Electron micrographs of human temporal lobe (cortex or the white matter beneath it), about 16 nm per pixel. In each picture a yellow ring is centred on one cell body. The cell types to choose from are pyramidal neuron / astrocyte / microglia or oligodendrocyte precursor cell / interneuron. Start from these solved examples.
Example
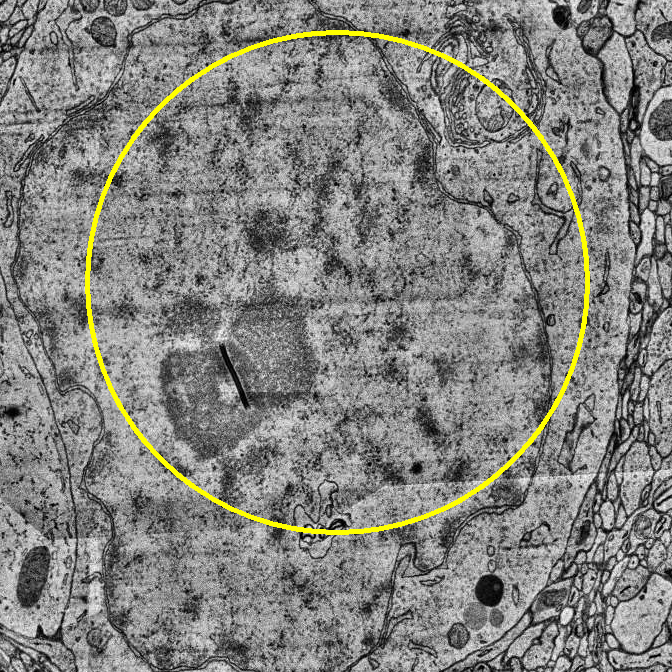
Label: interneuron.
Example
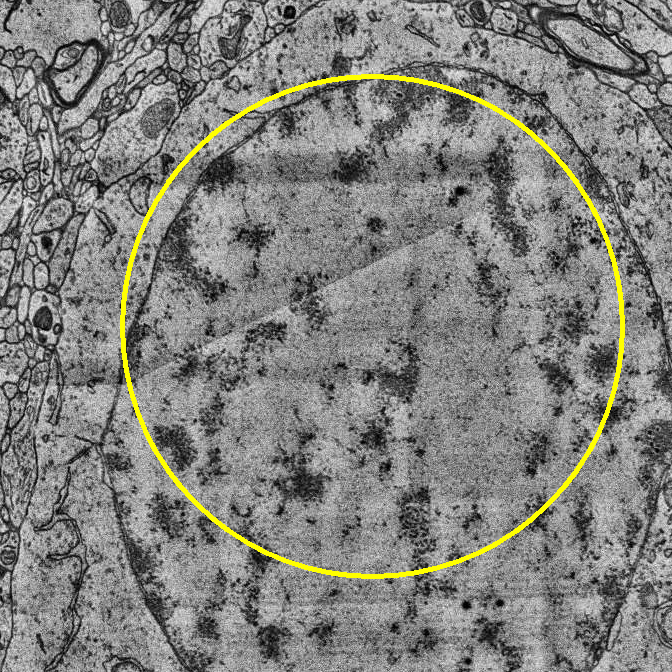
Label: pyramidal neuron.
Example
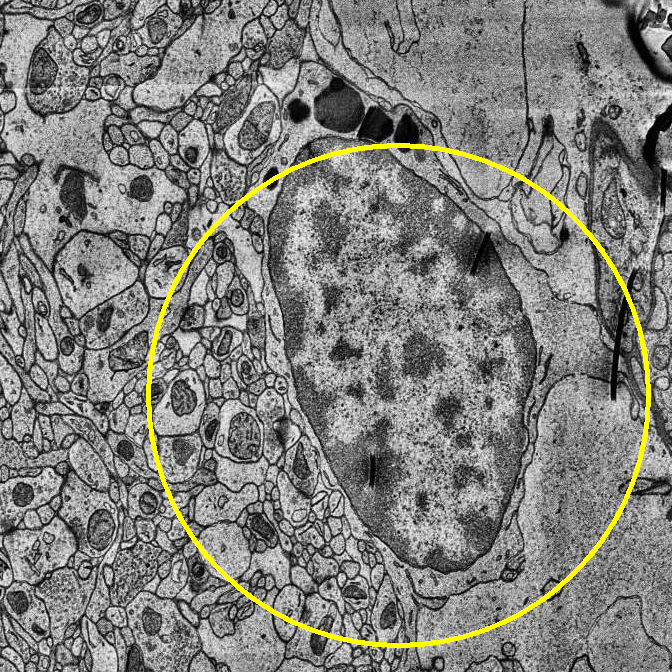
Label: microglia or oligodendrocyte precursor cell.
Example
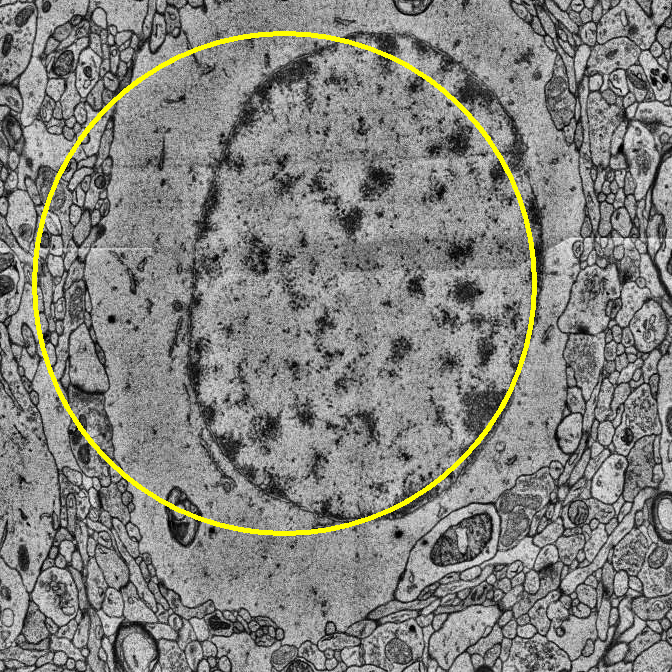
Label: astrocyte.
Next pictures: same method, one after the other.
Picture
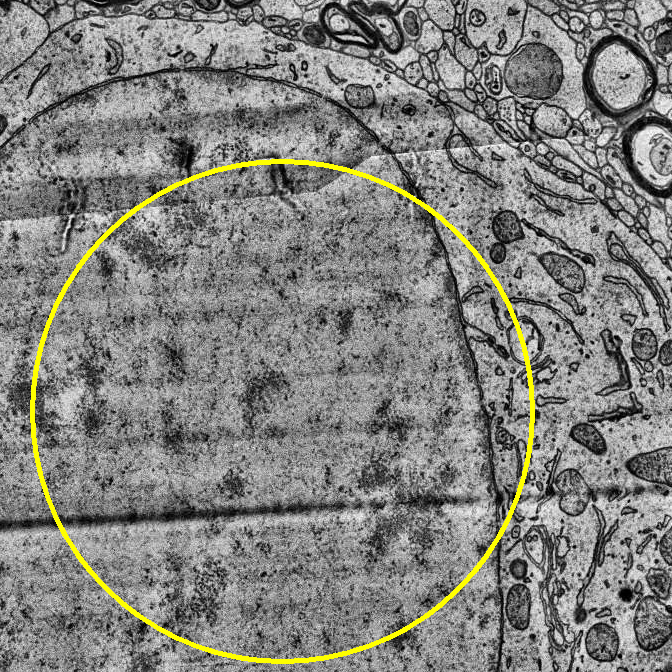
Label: pyramidal neuron.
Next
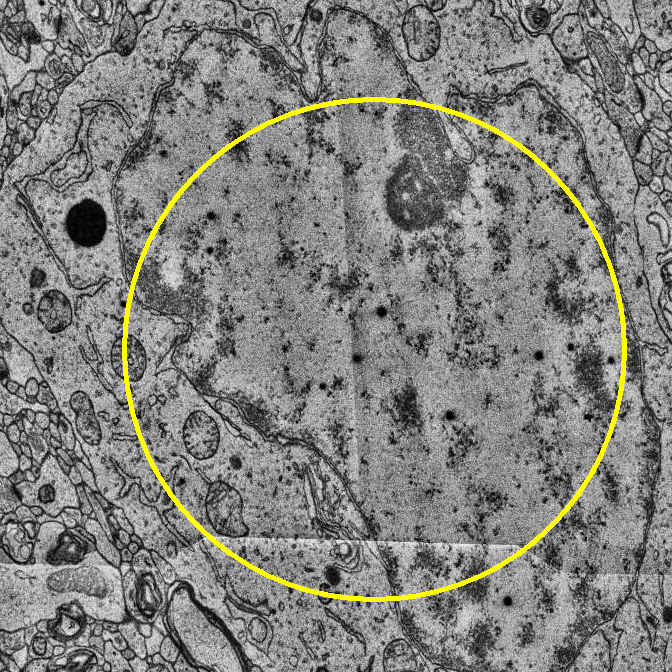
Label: interneuron.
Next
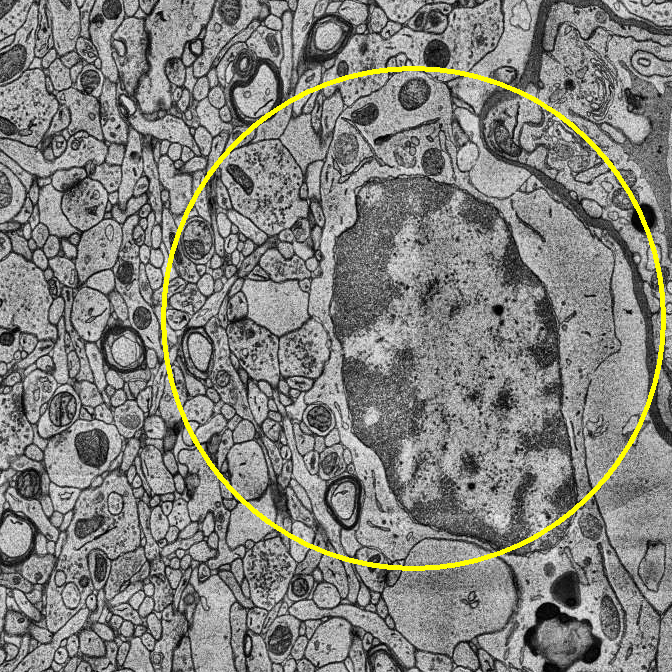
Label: microglia or oligodendrocyte precursor cell.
